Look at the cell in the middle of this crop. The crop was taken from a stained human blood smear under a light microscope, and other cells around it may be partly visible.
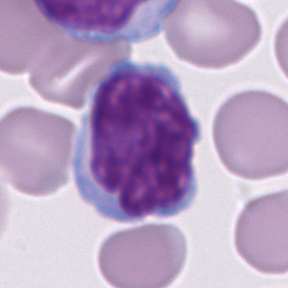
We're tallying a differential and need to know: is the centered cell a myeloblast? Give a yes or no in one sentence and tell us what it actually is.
Yes, this crop has a myeloblast at its centre.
